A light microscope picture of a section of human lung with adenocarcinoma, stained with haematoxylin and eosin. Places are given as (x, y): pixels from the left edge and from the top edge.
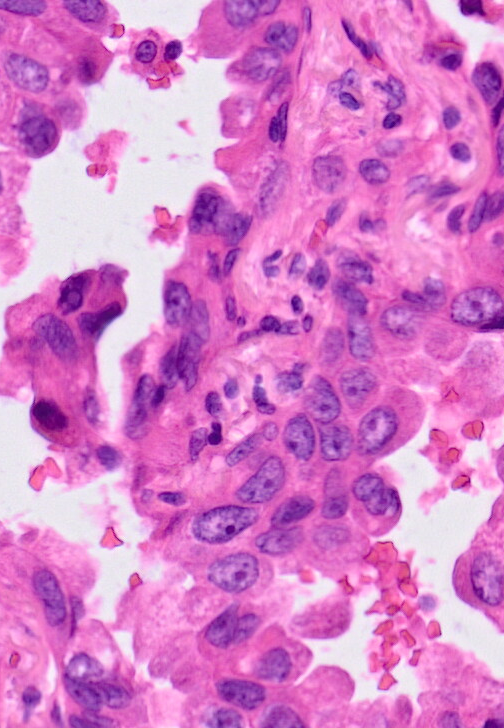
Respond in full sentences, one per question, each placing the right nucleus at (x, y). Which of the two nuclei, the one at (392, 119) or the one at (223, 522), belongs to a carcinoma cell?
The nucleus at (223, 522) is identified as belonging to a carcinoma cell.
